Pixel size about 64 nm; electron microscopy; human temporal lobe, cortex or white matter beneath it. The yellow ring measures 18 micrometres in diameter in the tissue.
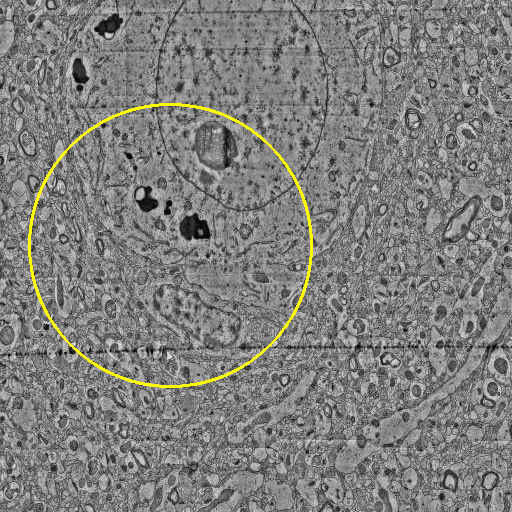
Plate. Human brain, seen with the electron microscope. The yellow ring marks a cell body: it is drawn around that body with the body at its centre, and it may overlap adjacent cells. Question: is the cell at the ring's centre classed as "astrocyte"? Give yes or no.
no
